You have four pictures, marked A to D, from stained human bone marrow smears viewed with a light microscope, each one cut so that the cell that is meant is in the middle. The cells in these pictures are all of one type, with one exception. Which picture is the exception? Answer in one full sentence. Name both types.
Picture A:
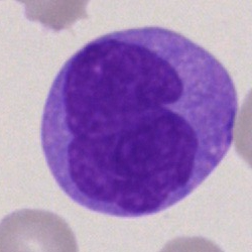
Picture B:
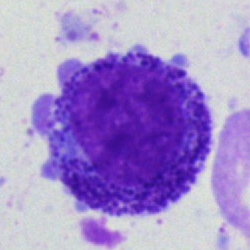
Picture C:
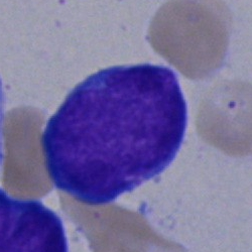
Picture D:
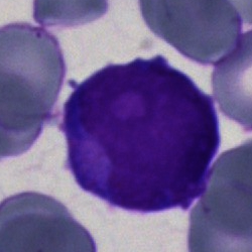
Picture B is the odd one out: it shows a promyelocyte, while the others show blasts.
